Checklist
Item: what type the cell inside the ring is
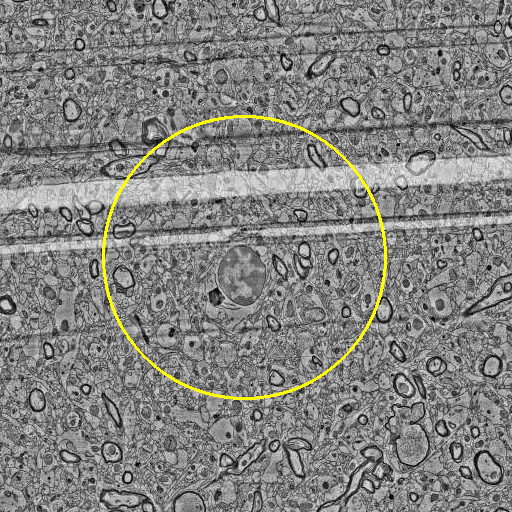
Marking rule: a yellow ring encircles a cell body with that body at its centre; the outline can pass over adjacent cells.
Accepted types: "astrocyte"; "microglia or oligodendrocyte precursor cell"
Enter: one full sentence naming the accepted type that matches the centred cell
The entry is that a microglial cell or oligodendrocyte precursor cell lies at the centre of the yellow ring.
